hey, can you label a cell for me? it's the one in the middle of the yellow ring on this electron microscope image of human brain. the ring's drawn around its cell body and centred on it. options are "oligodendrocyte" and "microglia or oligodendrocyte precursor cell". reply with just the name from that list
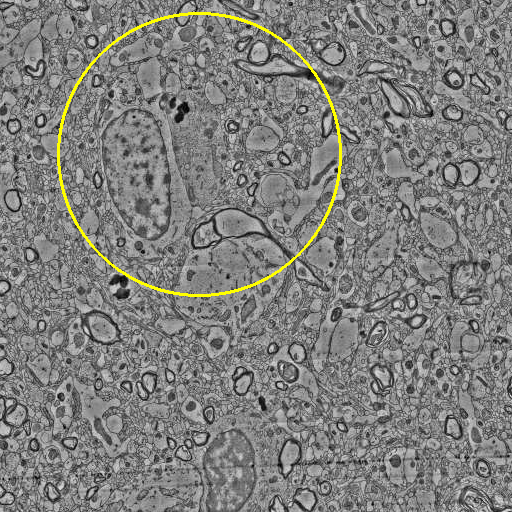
oligodendrocyte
